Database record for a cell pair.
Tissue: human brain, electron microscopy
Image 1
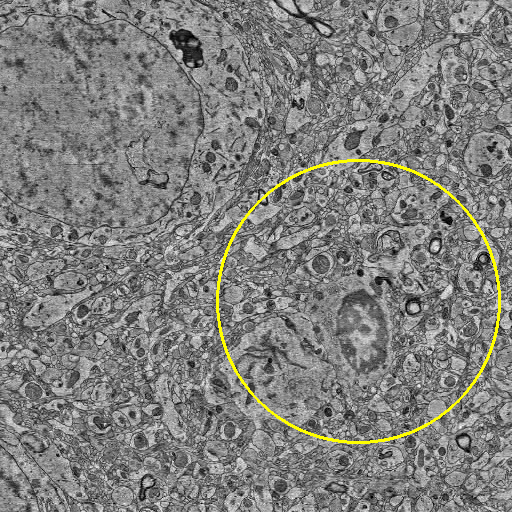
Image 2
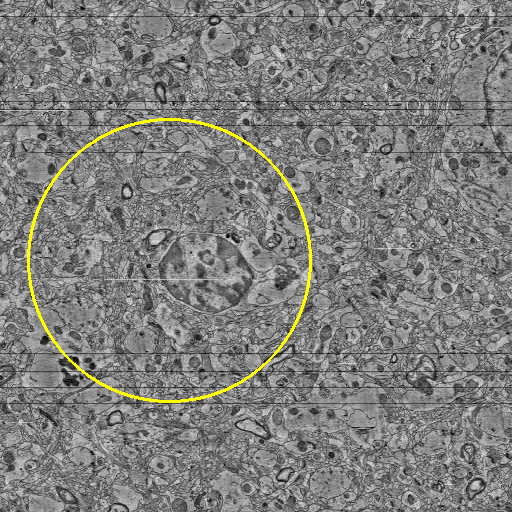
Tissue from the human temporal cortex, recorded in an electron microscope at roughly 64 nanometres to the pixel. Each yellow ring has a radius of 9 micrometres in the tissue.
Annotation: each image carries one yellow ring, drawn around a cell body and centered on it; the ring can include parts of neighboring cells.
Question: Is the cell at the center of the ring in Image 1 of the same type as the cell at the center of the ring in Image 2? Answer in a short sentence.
No, the cells are of two types.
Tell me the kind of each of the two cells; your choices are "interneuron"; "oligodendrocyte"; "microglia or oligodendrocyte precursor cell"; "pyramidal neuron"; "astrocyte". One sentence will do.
The ringed cell is an oligodendrocyte in the first picture and a microglial cell or oligodendrocyte precursor cell in the second picture.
